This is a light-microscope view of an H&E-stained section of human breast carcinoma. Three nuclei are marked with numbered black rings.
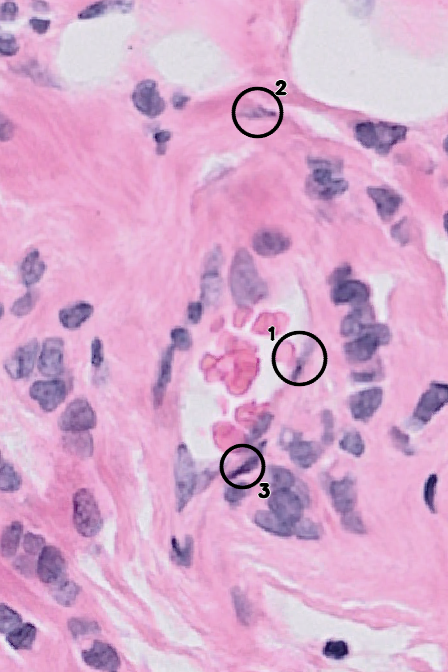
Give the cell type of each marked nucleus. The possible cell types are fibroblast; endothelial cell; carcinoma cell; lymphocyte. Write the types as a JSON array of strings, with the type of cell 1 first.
["endothelial cell", "fibroblast", "endothelial cell"]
